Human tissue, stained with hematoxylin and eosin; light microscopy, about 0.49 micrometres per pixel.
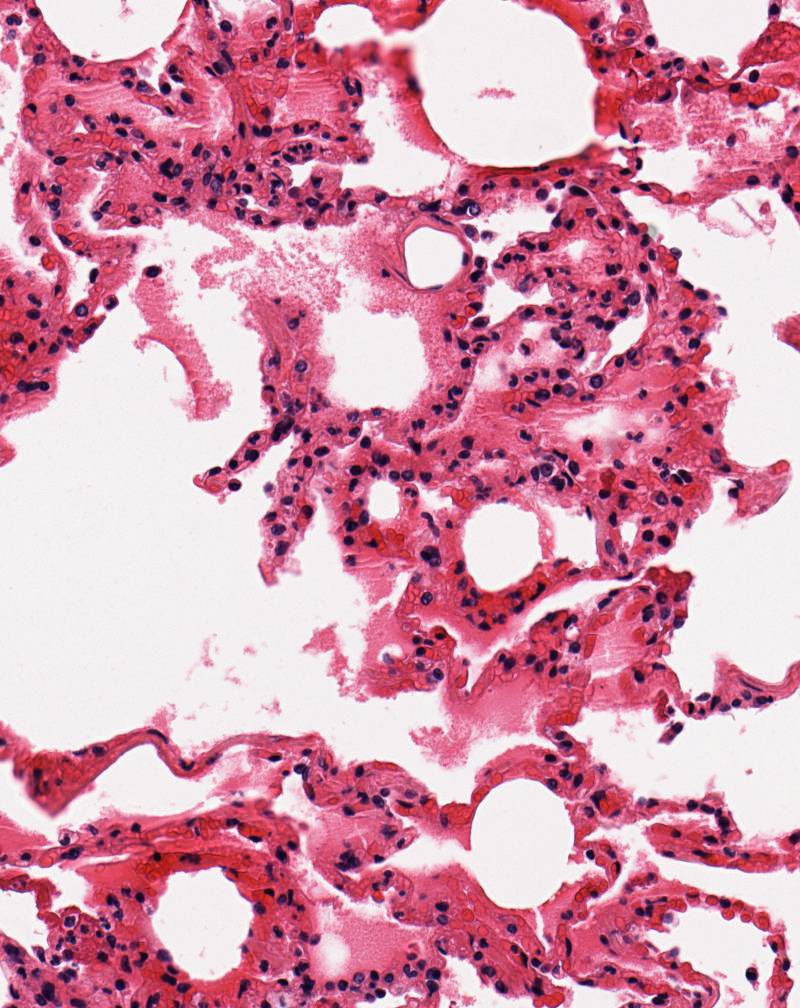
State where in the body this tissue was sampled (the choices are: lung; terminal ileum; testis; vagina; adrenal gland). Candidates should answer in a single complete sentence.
This tissue specimen derives from the lung.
